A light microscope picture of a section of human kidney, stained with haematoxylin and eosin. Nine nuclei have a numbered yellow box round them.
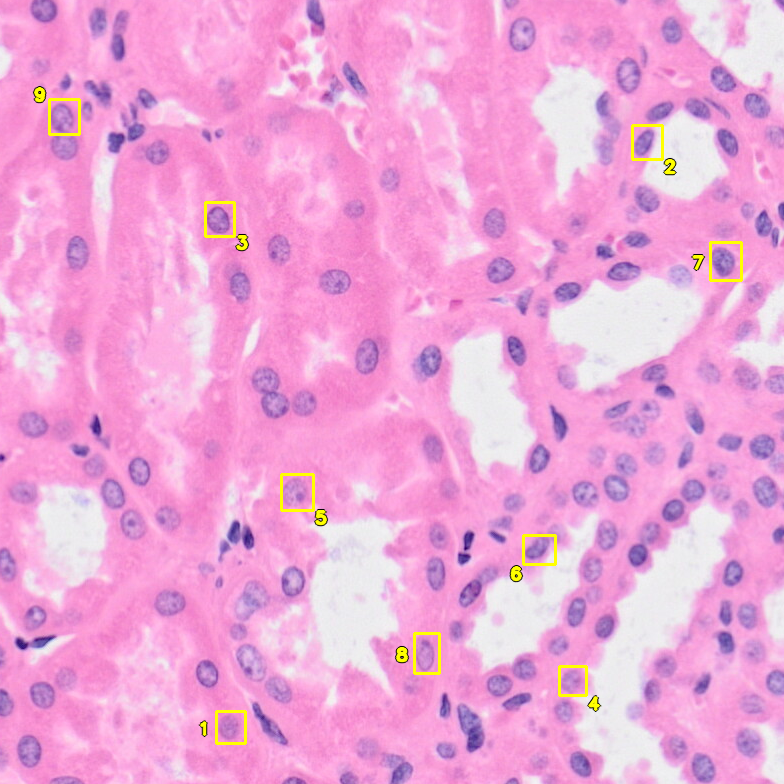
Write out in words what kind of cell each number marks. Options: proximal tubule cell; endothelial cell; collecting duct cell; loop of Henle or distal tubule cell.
Cell 1 is a proximal tubule cell, cell 2 is a loop of Henle or distal tubule cell, cell 3 is a proximal tubule cell, cell 4 is a loop of Henle or distal tubule cell, cell 5 is a proximal tubule cell, cell 6 is a loop of Henle or distal tubule cell, cell 7 is a loop of Henle or distal tubule cell, cell 8 is a proximal tubule cell and cell 9 is a proximal tubule cell.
